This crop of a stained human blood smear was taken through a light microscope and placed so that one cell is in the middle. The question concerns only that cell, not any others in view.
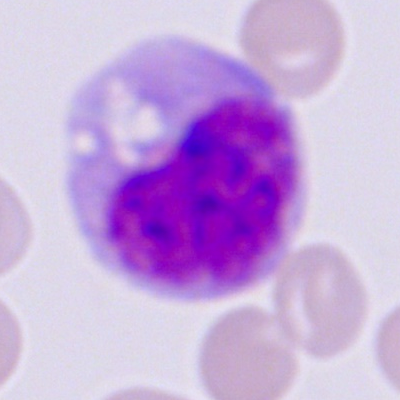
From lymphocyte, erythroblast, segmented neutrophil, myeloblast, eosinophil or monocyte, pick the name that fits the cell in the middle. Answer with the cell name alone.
monocyte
